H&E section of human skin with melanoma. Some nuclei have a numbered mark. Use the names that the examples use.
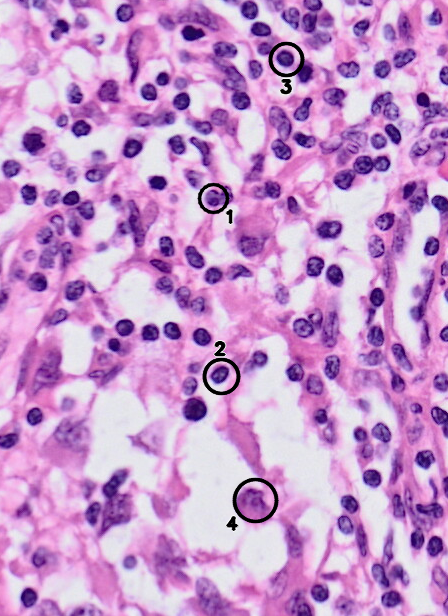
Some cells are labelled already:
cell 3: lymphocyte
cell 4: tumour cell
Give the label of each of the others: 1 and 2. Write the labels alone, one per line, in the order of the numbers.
lymphocyte
lymphocyte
